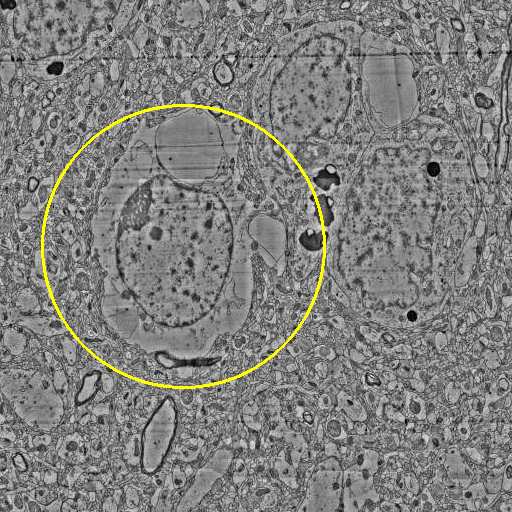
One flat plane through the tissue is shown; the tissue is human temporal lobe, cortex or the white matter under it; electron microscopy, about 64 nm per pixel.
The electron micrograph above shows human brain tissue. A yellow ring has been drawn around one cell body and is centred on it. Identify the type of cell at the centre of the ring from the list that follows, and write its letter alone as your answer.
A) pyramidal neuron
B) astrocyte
B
